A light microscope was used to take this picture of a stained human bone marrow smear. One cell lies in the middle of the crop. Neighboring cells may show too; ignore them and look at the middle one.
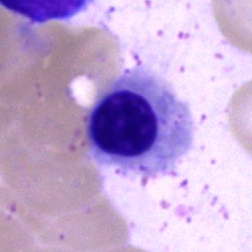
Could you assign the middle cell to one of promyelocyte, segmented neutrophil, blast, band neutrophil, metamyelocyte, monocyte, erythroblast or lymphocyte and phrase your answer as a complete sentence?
In the central position of this crop, the cell is an erythroblast.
